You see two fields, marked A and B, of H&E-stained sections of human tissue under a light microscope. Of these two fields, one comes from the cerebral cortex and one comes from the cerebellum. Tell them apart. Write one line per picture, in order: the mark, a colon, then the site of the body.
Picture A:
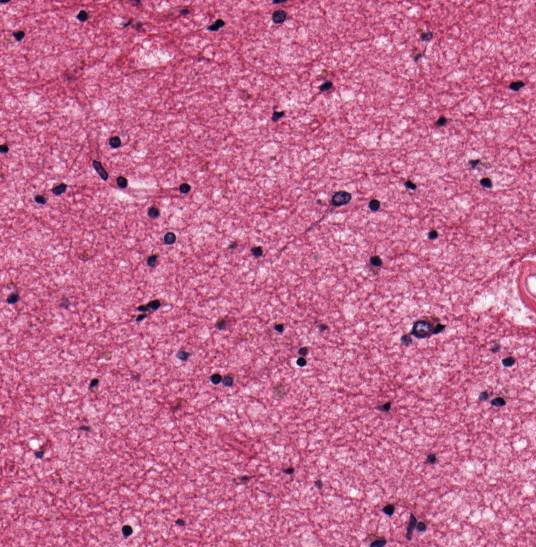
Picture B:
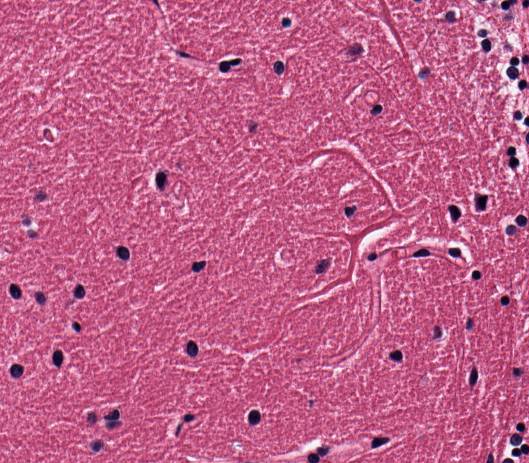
A: cerebral cortex
B: cerebellum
